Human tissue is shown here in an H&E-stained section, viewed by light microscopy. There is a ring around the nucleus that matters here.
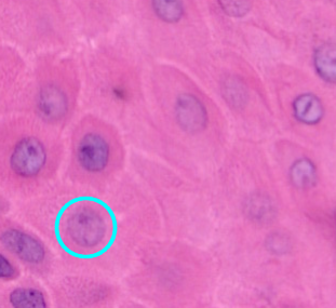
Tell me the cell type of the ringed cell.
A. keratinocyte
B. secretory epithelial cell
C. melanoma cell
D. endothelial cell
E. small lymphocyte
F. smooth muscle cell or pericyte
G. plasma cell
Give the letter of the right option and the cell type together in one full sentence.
The proper choice here is A: the ringed cell is a keratinocyte.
